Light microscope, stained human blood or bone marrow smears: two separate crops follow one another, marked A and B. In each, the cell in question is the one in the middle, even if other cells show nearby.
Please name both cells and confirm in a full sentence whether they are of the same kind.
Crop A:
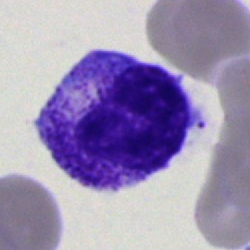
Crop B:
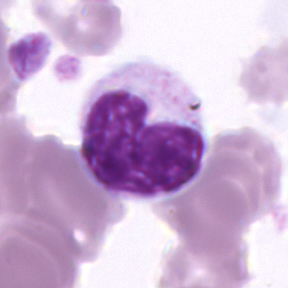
No, a metamyelocyte is the cell in crop B, and crop A contains a myelocyte.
